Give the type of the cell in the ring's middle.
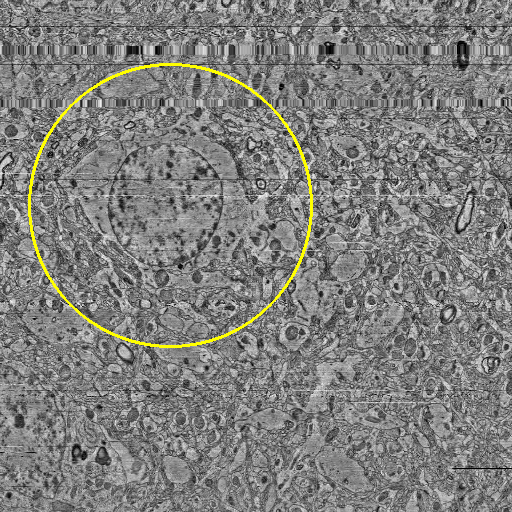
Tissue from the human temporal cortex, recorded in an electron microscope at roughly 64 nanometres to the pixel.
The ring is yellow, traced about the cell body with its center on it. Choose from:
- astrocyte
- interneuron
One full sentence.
Here, an astrocyte is the cell lying at the center of the yellow ring.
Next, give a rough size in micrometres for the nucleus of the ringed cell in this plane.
About 8 micrometers across, in this plane.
